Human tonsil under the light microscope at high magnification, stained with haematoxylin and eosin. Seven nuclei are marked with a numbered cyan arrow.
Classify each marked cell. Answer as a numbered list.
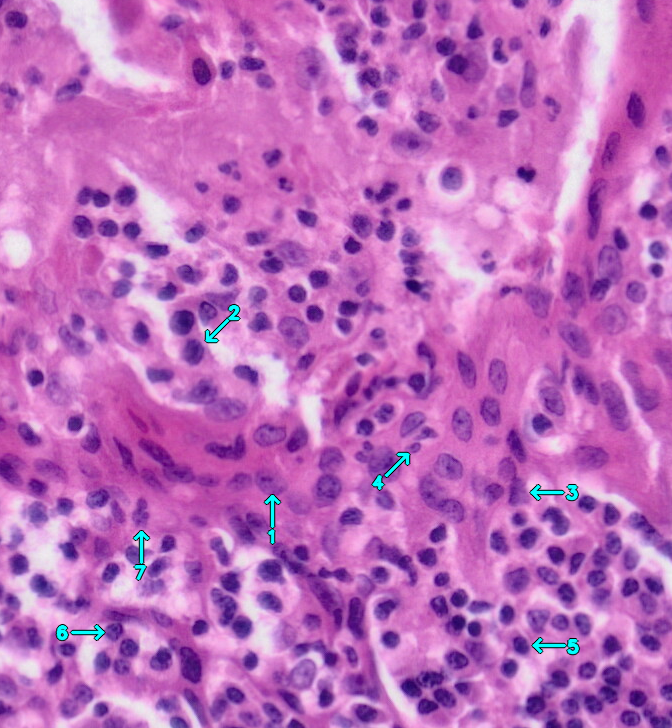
1. squamous epithelial cell
2. proliferating B cell
3. squamous epithelial cell
4. squamous epithelial cell
5. plasma cell
6. plasma cell
7. squamous epithelial cell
